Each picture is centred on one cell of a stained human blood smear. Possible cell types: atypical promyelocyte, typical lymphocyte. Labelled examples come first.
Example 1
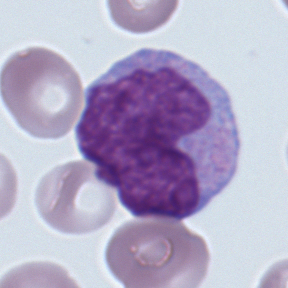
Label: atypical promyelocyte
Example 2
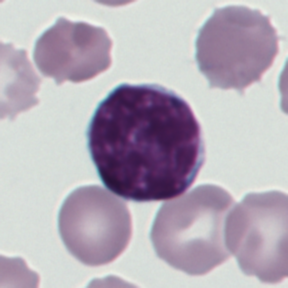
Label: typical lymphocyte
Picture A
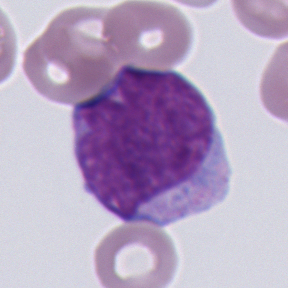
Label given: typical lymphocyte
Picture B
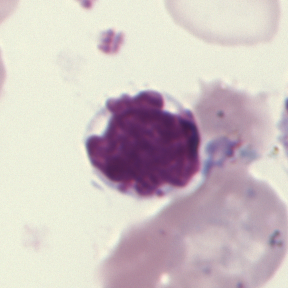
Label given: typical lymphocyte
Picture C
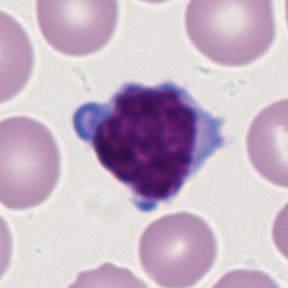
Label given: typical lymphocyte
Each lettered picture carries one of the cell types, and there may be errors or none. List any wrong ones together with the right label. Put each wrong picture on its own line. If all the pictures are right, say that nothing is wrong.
A: not typical lymphocyte but atypical promyelocyte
